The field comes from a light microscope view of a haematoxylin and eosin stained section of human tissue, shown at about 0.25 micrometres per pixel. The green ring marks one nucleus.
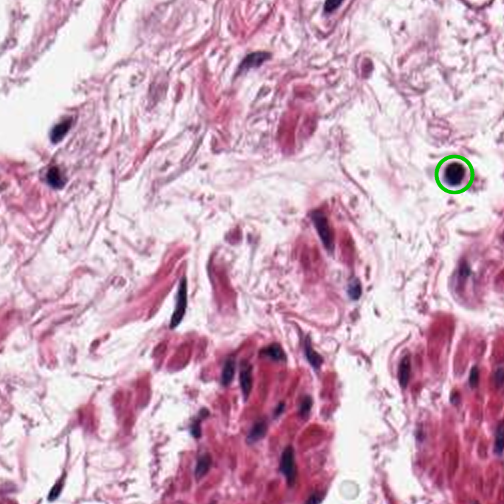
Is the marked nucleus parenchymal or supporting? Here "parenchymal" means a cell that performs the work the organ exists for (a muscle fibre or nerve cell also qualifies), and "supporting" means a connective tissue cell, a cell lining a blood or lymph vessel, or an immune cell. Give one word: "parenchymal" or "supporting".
supporting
